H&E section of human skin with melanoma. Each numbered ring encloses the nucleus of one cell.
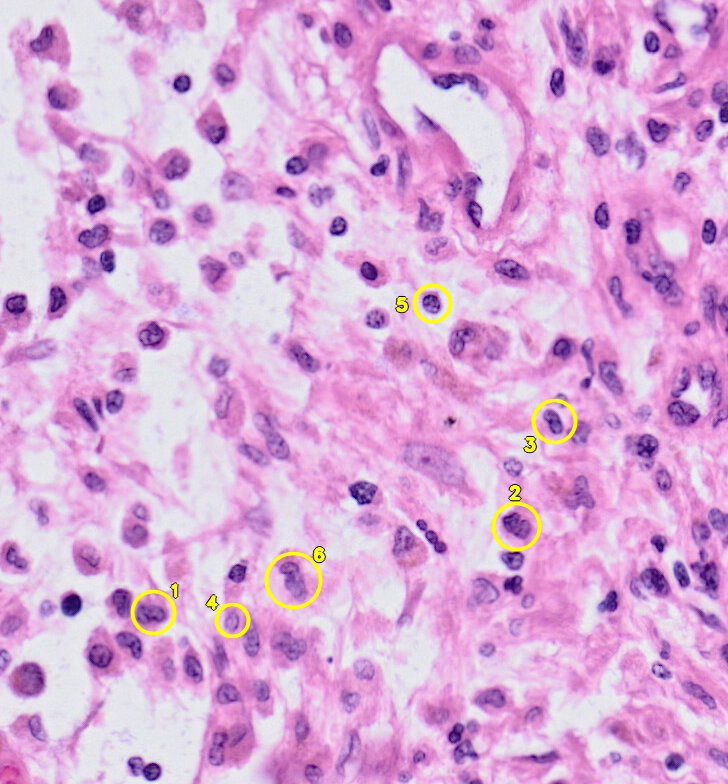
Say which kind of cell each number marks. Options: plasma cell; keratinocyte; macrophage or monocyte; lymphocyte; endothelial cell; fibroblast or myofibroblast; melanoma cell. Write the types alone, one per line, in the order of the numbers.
macrophage or monocyte
macrophage or monocyte
lymphocyte
macrophage or monocyte
lymphocyte
macrophage or monocyte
